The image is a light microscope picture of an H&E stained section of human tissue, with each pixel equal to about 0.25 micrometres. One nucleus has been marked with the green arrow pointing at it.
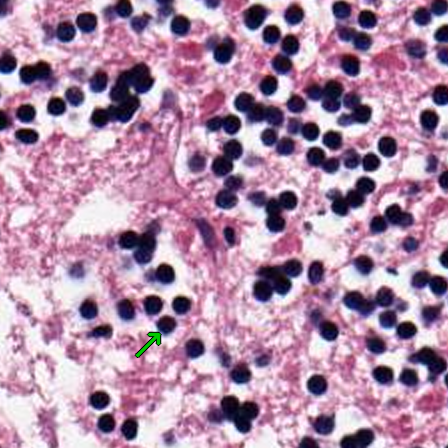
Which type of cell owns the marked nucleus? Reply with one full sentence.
The cell that the marked nucleus belongs to is a cerebellar granule cell.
